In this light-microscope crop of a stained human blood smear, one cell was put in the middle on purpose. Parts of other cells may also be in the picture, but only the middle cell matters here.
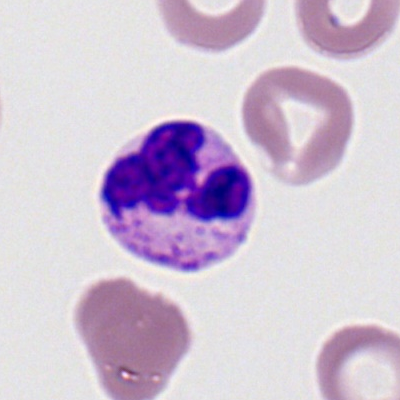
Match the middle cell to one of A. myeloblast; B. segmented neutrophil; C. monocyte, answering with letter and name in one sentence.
The cell in the centre of the crop is a segmented neutrophil, so option B is the correct one.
